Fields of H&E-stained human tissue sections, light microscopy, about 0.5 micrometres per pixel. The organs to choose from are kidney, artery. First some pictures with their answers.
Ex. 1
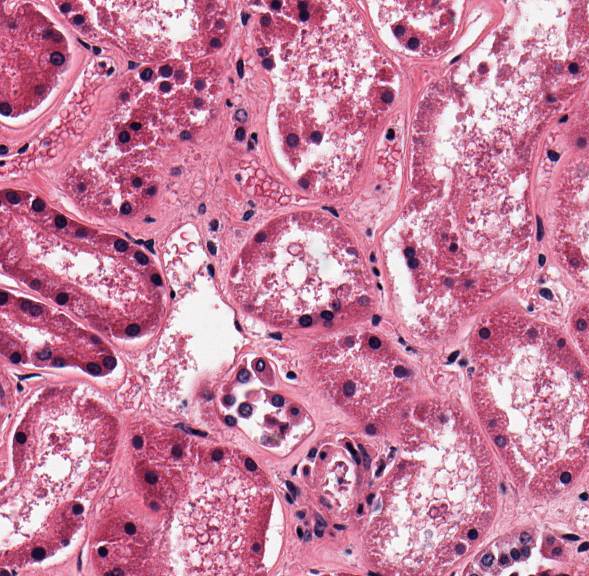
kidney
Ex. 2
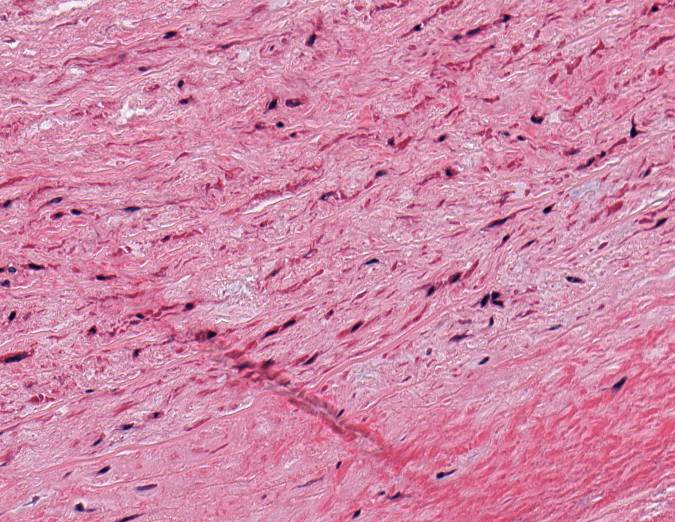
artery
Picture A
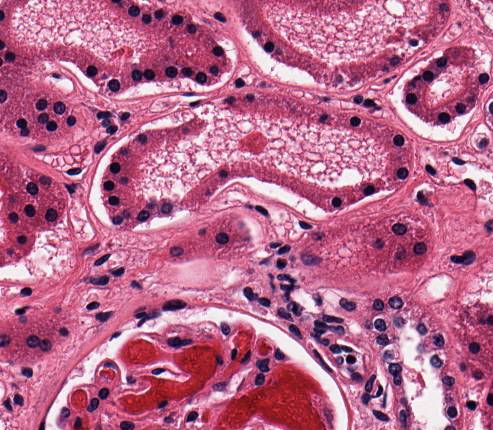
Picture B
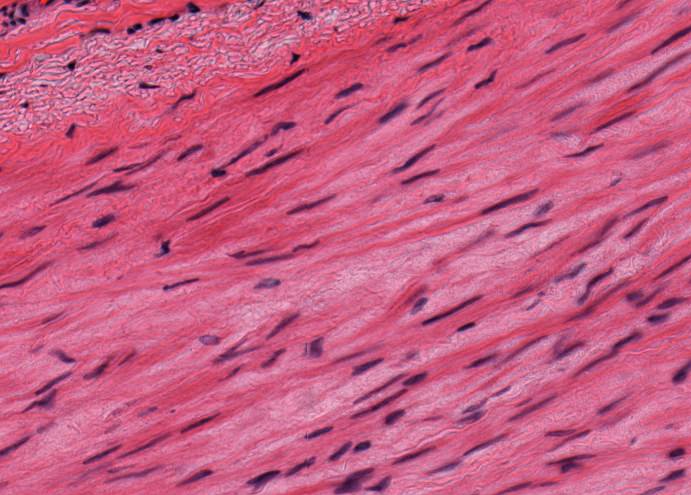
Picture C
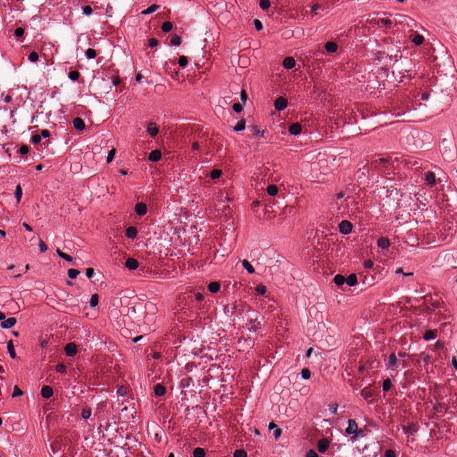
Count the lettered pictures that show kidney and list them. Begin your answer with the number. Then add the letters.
Count: 2 (A, C)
